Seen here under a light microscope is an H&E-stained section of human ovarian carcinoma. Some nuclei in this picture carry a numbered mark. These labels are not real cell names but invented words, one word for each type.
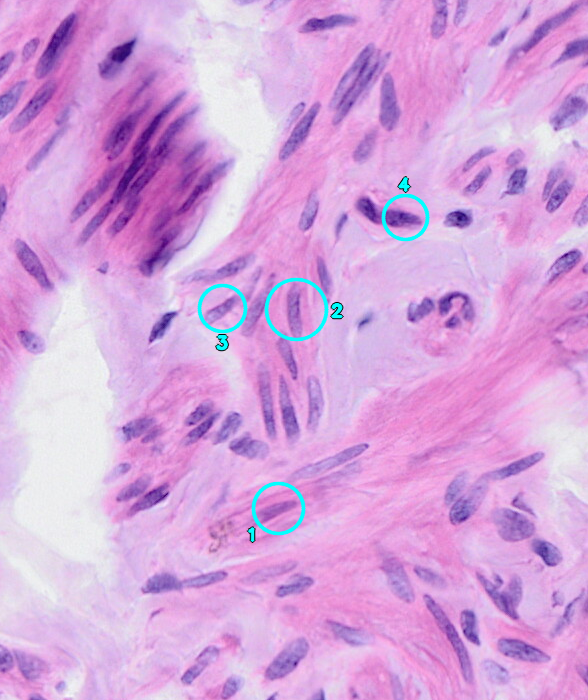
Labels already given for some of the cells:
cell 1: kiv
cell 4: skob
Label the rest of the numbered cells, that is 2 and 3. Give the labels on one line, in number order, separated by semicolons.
kiv; kiv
